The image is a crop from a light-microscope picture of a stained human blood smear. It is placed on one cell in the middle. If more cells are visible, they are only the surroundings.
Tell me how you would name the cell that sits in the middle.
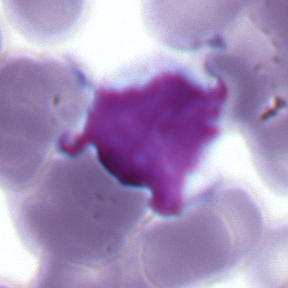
typical lymphocyte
